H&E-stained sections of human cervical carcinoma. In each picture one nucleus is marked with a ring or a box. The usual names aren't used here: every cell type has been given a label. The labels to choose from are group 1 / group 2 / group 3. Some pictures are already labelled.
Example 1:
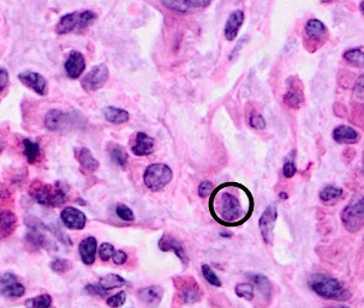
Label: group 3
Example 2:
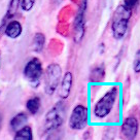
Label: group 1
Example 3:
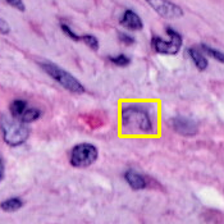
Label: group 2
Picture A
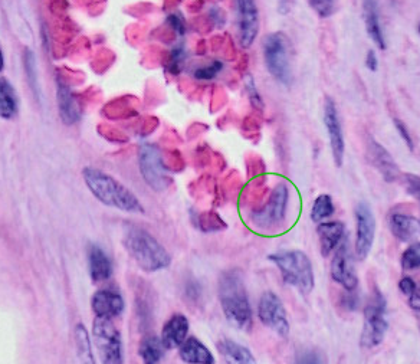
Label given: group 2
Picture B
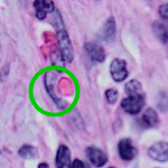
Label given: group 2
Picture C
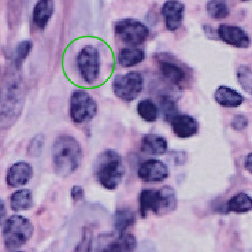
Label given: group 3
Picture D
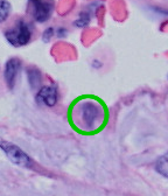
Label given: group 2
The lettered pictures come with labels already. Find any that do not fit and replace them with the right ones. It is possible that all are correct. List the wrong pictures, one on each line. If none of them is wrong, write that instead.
C: group 1, not group 3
